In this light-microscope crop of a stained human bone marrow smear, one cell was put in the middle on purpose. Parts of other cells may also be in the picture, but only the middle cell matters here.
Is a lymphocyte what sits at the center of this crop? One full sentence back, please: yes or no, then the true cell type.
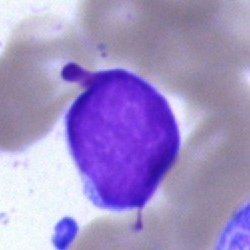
No, what occupies the middle of the crop is a blast and not a lymphocyte.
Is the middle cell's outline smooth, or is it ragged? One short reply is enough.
The boundary of the cell runs irregularly, ragged in parts or drawn into projections.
